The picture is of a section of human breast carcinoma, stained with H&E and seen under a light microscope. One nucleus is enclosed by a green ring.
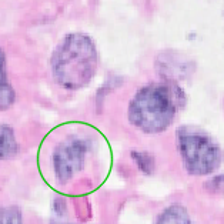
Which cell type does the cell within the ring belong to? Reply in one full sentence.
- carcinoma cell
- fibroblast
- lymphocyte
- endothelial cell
As a matter of cell type, the cell within the ring is an endothelial cell.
